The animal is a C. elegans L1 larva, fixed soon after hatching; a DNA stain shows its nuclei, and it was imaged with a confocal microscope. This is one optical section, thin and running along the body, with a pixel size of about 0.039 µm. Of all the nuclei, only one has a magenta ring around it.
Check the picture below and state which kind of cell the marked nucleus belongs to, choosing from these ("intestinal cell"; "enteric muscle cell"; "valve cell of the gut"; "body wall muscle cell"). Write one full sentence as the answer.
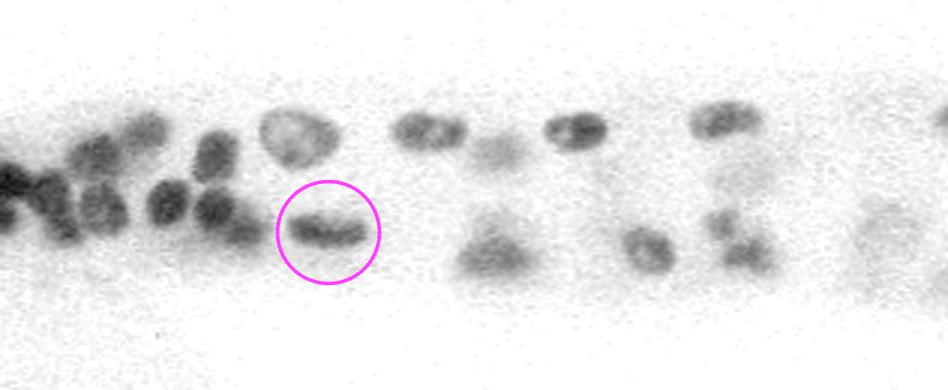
It is the nucleus of an enteric muscle cell.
